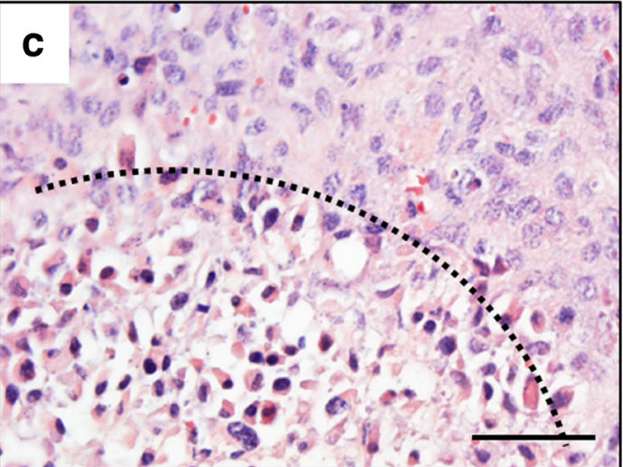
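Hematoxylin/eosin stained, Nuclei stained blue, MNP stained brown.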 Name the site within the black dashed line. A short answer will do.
Transition from necrotic and apoptotic to vital tumor tissue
